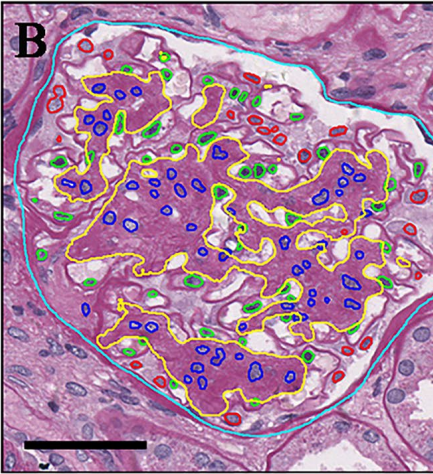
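A glomerulus within Bowman capsule whose tuft shows broad, confluent pink mesangial areas containing many mesangial cell nuclei. Endothelial cells line capillary loops squeezed between the widened mesangium, and podocytes lie along the outer surface of the tuft facing the urinary space.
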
